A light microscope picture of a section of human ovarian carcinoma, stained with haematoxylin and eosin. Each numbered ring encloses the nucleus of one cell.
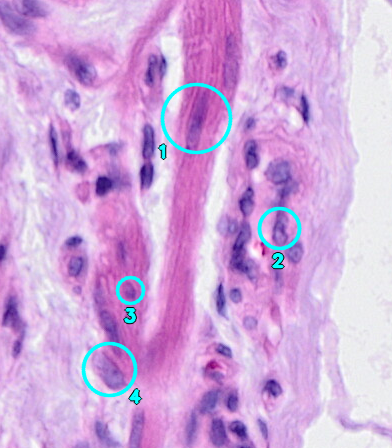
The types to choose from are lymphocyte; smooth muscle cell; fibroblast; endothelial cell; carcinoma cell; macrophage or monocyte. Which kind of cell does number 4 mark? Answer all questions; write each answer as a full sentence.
Cell number 4 in this section is a smooth muscle cell.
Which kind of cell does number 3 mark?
To a smooth muscle cell belongs the nucleus marked 3.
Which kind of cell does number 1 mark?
In the tissue shown, cell 1 is a smooth muscle cell.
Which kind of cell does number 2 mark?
The marked cell bearing number 2 is an endothelial cell.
